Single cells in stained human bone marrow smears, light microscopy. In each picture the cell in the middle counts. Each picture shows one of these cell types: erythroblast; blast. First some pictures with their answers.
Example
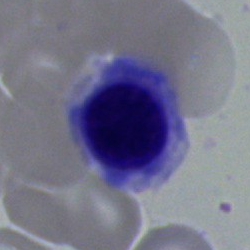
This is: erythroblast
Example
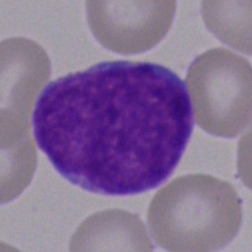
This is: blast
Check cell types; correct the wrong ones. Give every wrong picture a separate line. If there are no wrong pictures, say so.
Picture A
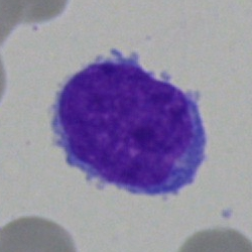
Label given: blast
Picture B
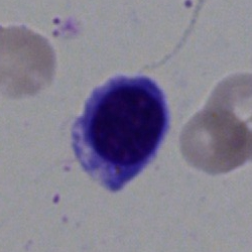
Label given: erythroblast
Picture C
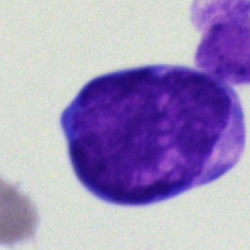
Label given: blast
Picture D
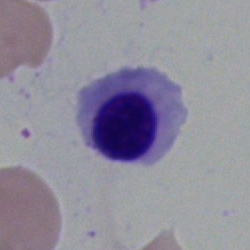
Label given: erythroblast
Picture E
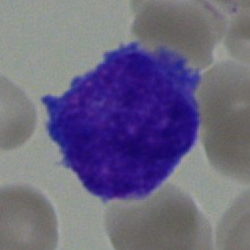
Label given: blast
Every label is right.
